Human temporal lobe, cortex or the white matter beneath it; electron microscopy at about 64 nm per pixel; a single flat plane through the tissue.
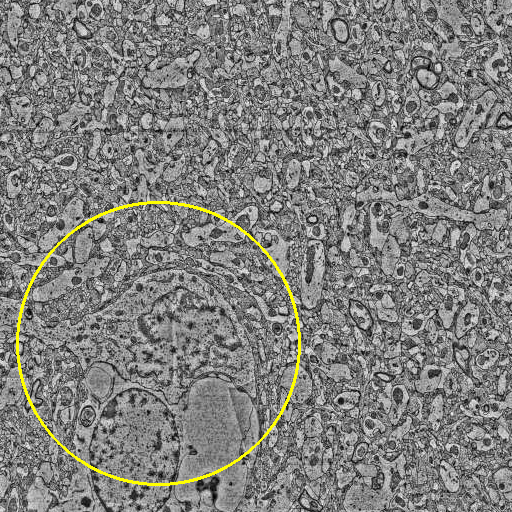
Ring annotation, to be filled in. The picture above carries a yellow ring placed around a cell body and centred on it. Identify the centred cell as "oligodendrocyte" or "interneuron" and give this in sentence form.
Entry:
The cell in the middle of the ring is an interneuron.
